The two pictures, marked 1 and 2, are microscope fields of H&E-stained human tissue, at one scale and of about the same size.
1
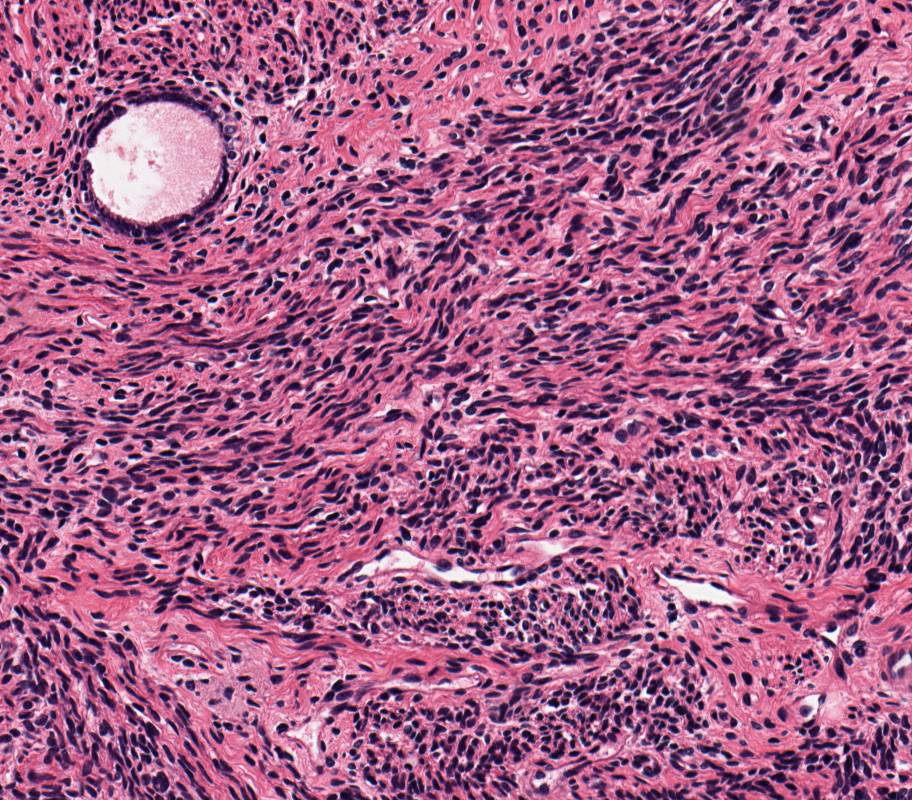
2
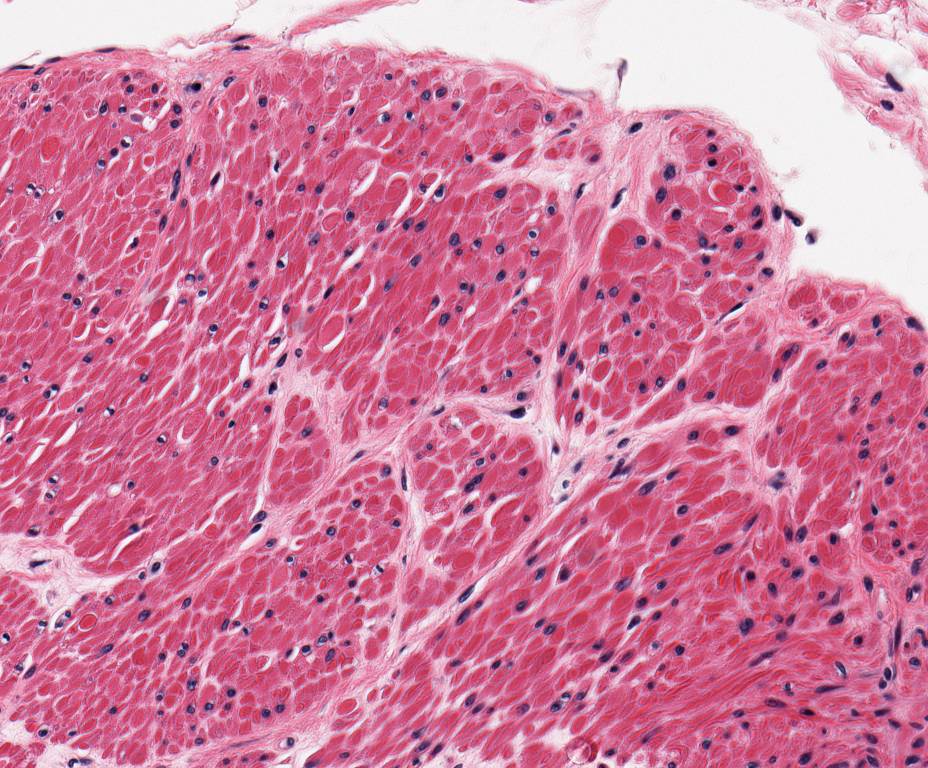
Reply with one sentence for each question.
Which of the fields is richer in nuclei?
It is field 1 that has more nuclei in it.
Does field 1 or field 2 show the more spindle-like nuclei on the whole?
It is field 1 whose nuclei are the more elongated.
